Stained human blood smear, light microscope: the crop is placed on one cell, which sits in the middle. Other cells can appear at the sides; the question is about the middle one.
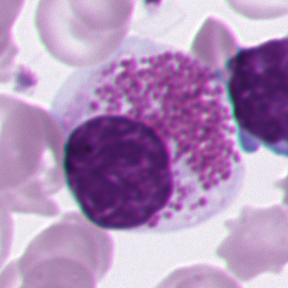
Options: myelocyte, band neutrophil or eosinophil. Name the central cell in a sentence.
This crop is built around an eosinophil at its centre.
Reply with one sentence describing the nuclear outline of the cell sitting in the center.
A single compact nucleus, round, oval or kidney-shaped, is what this cell shows.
